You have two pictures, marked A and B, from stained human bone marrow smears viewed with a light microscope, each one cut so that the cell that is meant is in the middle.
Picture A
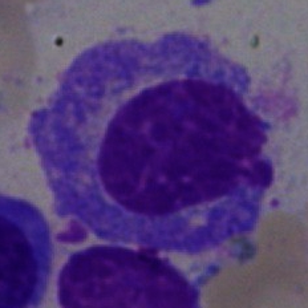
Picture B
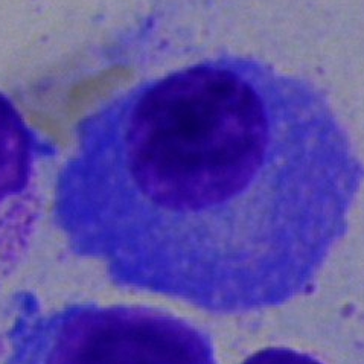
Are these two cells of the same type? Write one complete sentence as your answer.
Yes, they are the same type: both are plasma cells.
